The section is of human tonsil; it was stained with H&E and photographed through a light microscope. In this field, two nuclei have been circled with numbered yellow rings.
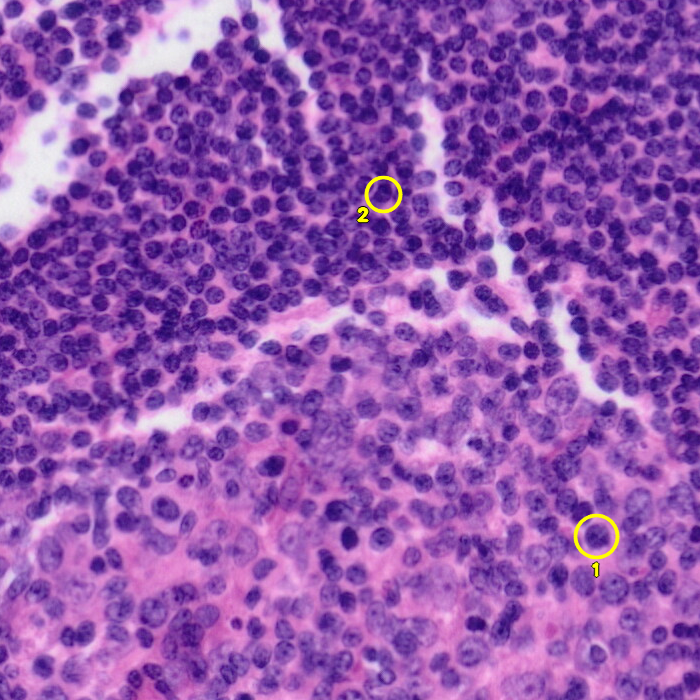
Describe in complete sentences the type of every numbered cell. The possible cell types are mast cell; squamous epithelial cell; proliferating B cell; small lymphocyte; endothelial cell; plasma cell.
Cell 1 is a proliferating B cell and cell 2 is a small lymphocyte.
